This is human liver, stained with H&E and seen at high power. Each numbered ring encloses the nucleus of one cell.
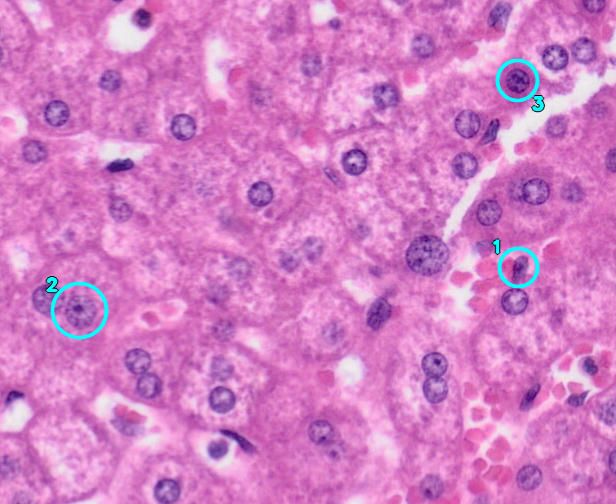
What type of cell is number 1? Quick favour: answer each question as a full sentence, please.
Among the marked nuclei, number 1 belongs to an endothelial cell.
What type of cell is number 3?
Among the marked cells, number 3 is a hepatocyte.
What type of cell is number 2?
Classified as a hepatocyte is the cell with the number 2.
